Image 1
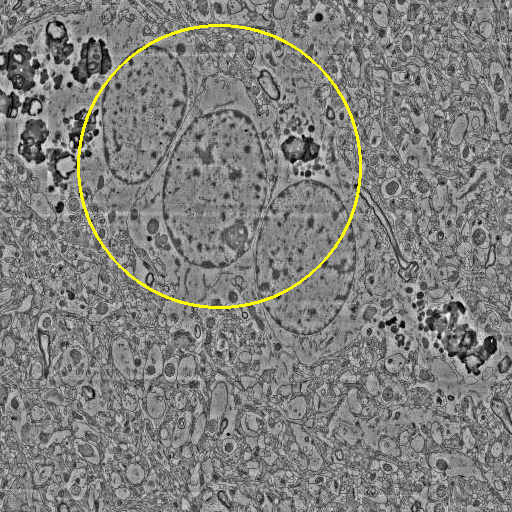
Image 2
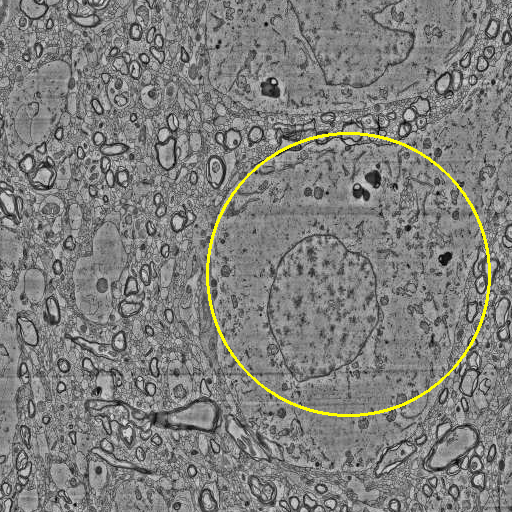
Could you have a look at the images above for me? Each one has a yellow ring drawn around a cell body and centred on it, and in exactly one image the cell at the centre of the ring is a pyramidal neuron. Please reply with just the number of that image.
2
